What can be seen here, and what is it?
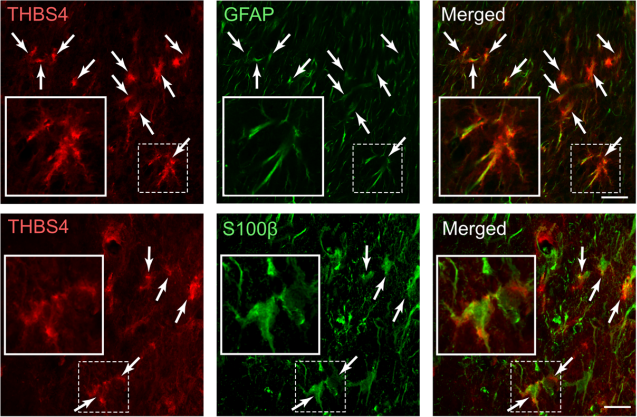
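In the upper row the green cells are thin, with slender processes, while the red labelling forms bushy, star-shaped clusters around their bodies. In the lower row the green cells have fuller bodies with several processes, and red labelling overlaps them, giving an orange-yellow color where both meet.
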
